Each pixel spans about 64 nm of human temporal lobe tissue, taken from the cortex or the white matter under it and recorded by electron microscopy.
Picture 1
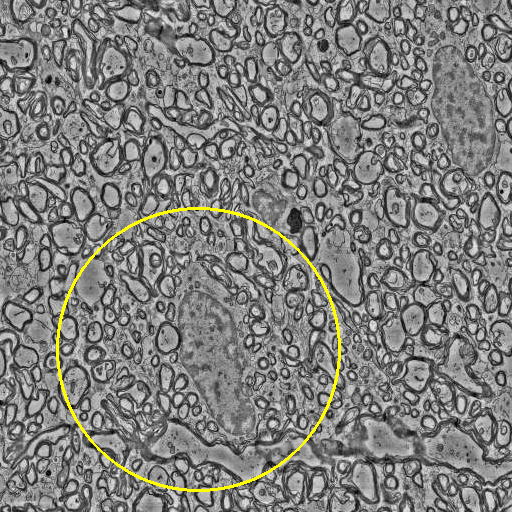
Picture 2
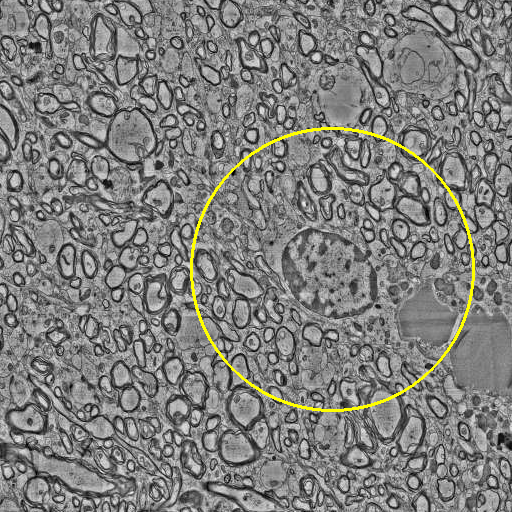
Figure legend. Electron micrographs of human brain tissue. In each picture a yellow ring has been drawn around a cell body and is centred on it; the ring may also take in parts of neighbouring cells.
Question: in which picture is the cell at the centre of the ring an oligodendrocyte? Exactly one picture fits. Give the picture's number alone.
1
